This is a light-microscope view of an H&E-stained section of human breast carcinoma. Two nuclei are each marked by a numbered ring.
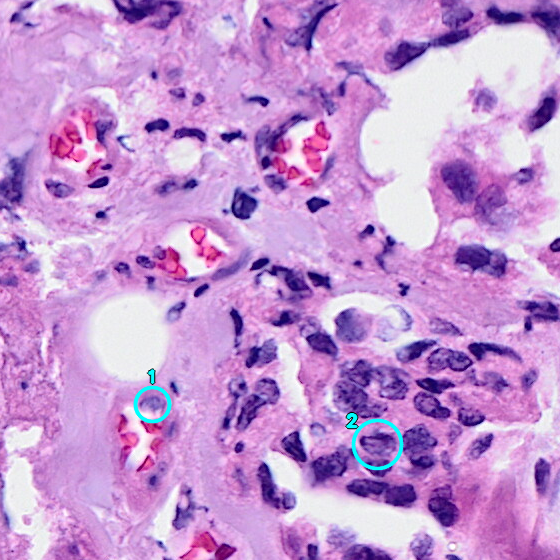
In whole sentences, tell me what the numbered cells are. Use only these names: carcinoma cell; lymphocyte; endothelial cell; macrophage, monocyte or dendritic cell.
Cell 1 is an endothelial cell. Cell 2 is a carcinoma cell.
